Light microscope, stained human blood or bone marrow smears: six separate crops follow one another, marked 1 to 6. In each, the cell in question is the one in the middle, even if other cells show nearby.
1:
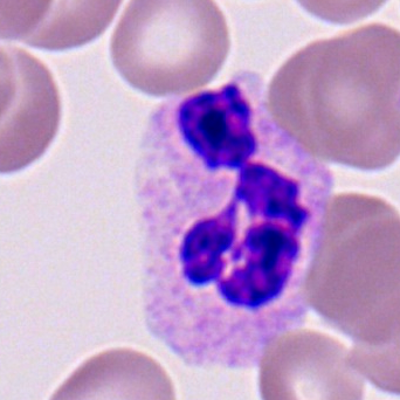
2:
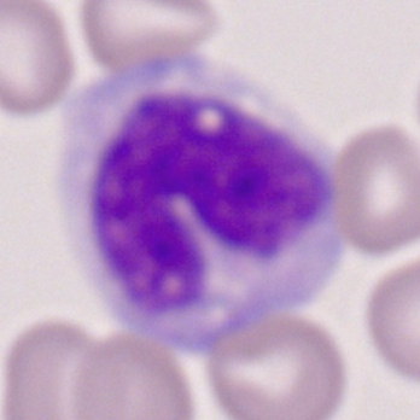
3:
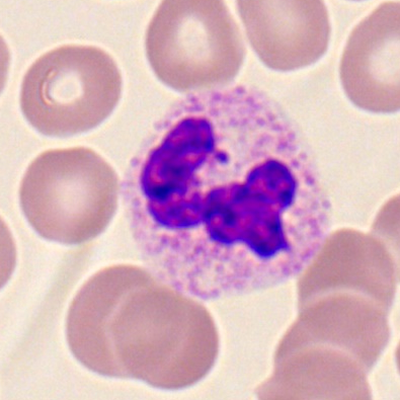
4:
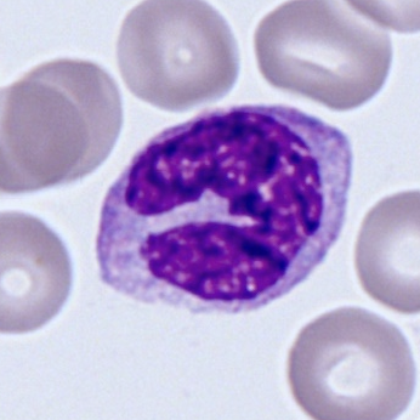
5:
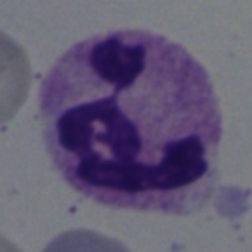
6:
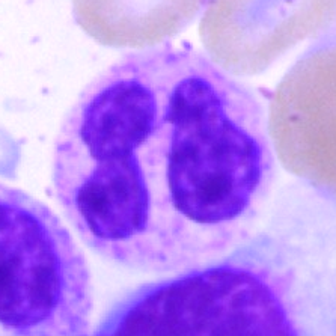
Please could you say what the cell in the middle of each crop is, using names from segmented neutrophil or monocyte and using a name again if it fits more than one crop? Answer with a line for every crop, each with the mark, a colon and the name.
1: segmented neutrophil
2: monocyte
3: segmented neutrophil
4: monocyte
5: segmented neutrophil
6: segmented neutrophil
